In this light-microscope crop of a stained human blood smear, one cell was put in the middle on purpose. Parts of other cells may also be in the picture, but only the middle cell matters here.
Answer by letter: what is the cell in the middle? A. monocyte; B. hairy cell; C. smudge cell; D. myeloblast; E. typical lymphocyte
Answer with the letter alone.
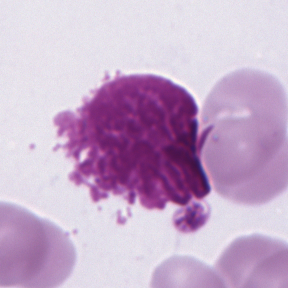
C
